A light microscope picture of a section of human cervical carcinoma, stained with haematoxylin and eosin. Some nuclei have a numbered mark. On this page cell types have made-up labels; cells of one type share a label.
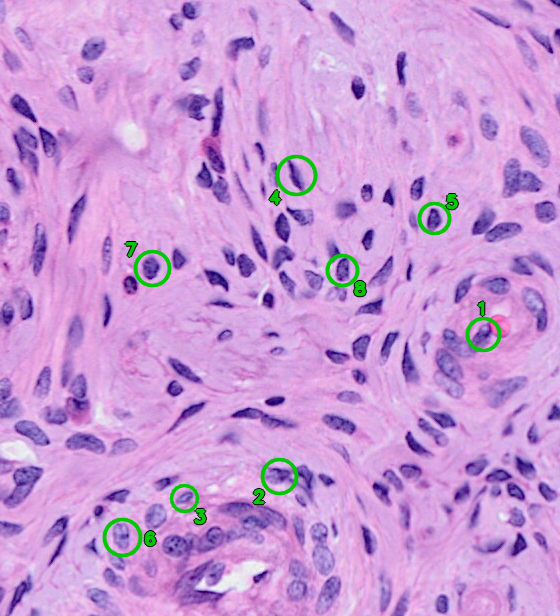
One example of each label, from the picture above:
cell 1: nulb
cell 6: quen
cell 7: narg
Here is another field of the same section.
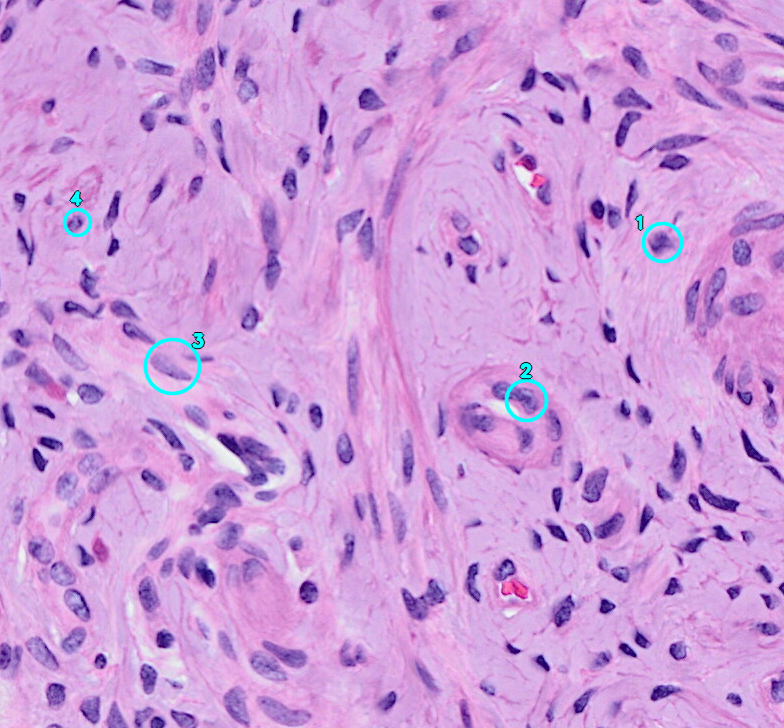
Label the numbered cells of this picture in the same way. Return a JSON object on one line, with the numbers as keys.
{"1": "narg", "2": "nulb", "3": "narg", "4": "quen"}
